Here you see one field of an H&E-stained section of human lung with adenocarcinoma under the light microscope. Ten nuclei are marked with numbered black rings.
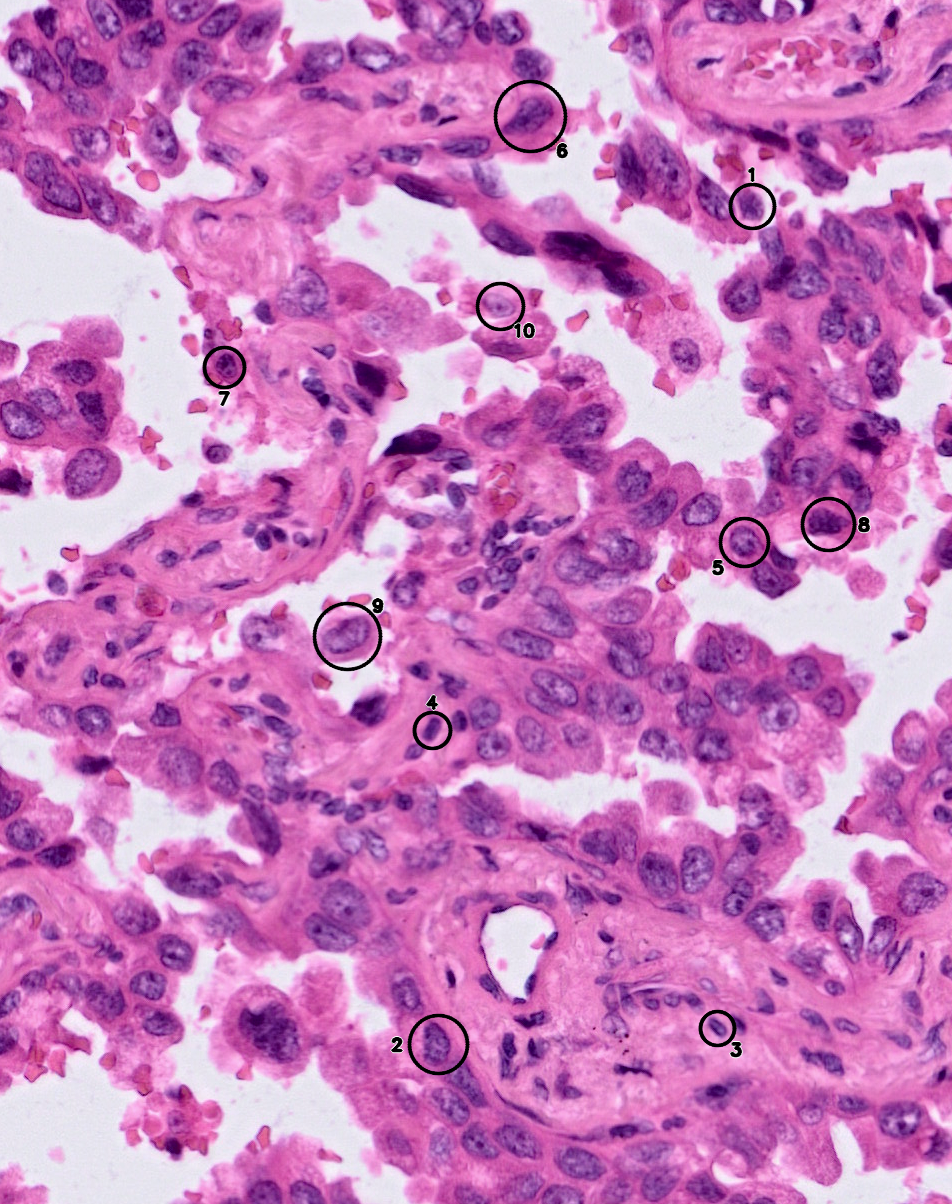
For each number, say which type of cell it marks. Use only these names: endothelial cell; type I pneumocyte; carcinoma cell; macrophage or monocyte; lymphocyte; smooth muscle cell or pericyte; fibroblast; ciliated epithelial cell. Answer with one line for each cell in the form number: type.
1: carcinoma cell
2: carcinoma cell
3: lymphocyte
4: lymphocyte
5: carcinoma cell
6: carcinoma cell
7: macrophage or monocyte
8: carcinoma cell
9: carcinoma cell
10: macrophage or monocyte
